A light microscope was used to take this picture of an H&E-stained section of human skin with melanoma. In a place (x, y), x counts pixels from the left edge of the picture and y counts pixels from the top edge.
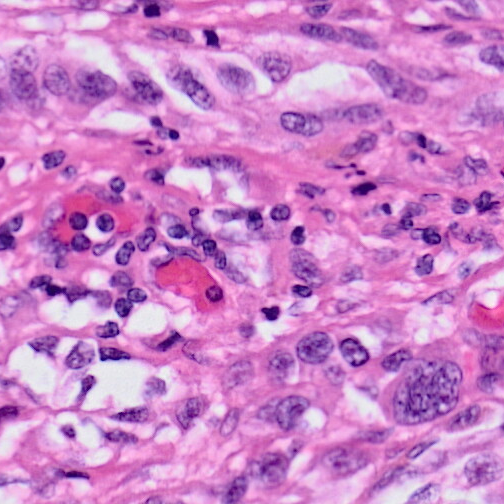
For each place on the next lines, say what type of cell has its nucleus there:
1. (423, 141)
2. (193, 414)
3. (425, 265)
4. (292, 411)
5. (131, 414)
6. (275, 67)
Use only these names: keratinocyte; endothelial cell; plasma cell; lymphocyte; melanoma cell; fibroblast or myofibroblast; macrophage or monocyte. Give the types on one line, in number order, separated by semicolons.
lymphocyte; melanoma cell; lymphocyte; melanoma cell; melanoma cell; melanoma cell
